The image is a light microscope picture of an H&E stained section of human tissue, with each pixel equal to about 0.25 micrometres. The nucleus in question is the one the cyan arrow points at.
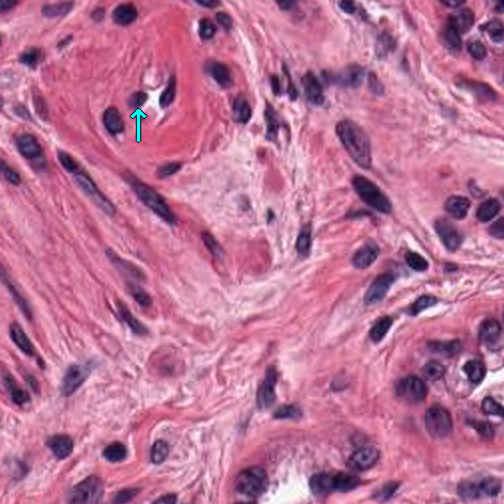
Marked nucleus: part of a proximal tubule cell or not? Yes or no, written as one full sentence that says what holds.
No, the marked nucleus does not form part of a proximal tubule cell, being part of a supporting cell.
